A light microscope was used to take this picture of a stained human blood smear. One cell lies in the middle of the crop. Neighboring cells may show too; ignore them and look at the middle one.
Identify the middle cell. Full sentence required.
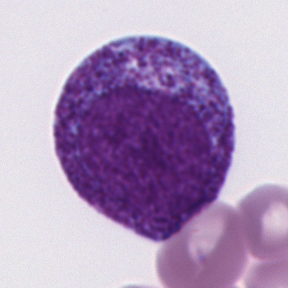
Here the cell in the middle is a promyelocyte.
